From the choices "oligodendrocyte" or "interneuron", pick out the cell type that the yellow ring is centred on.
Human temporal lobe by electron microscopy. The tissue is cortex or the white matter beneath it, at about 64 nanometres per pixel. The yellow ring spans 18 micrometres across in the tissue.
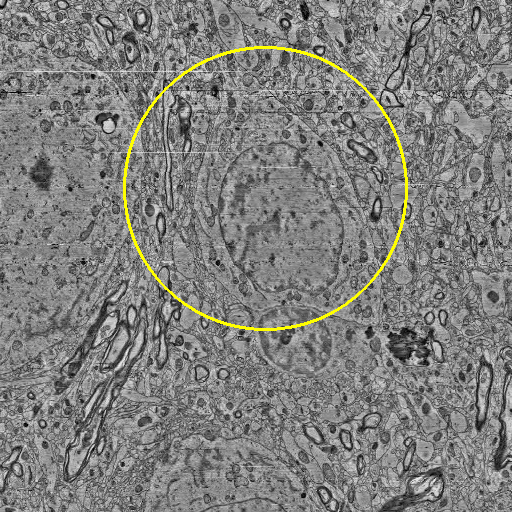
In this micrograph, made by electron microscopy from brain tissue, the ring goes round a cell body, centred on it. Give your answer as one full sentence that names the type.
The yellow ring is centred on an interneuron, whose cell body it encircles in the picture.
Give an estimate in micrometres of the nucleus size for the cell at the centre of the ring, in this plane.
About 10 by 8 micrometers for the nucleus, in this plane.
